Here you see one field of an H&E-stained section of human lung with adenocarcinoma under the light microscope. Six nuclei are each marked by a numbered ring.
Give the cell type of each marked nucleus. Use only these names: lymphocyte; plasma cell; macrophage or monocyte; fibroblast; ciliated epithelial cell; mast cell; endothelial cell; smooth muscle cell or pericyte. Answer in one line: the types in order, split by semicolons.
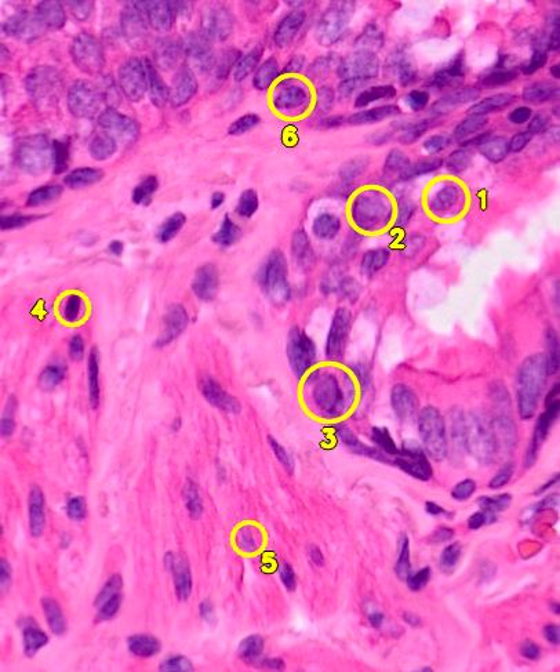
ciliated epithelial cell; ciliated epithelial cell; ciliated epithelial cell; smooth muscle cell or pericyte; smooth muscle cell or pericyte; ciliated epithelial cell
